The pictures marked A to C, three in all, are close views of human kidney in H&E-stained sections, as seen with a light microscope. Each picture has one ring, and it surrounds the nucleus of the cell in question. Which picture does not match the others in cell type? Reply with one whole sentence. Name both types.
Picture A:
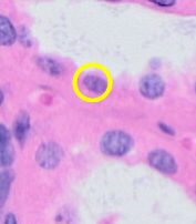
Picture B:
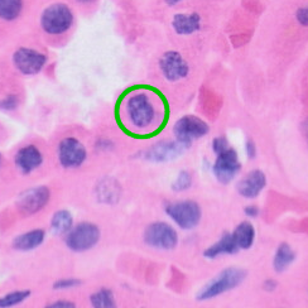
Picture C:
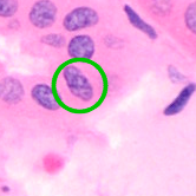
Unlike the rest, which show “loop of Henle or distal tubule cells”, picture C shows a collecting duct cell.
